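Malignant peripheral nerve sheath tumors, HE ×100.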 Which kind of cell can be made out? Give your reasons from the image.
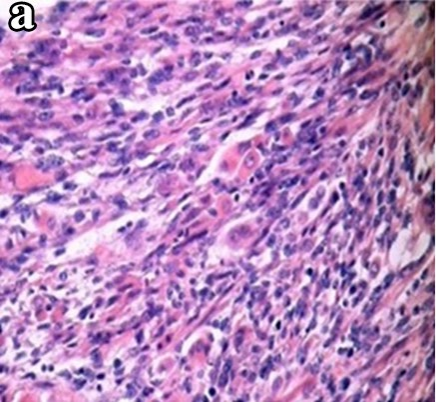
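Most cells are elongated with spindle-shaped, dark nuclei. Nuclei vary in size and shape. Cells run in streaming, roughly parallel bundles. The answer: pleomorphic spindle cells.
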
